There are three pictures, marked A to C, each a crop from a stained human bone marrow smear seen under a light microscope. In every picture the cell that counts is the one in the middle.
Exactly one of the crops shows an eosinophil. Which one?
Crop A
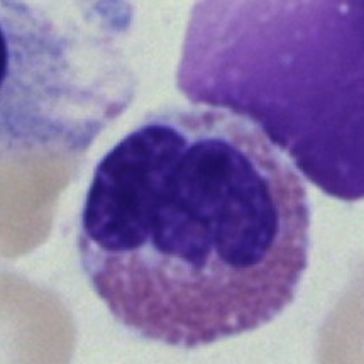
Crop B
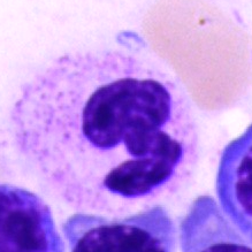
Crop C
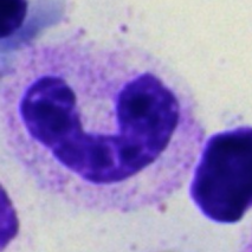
A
